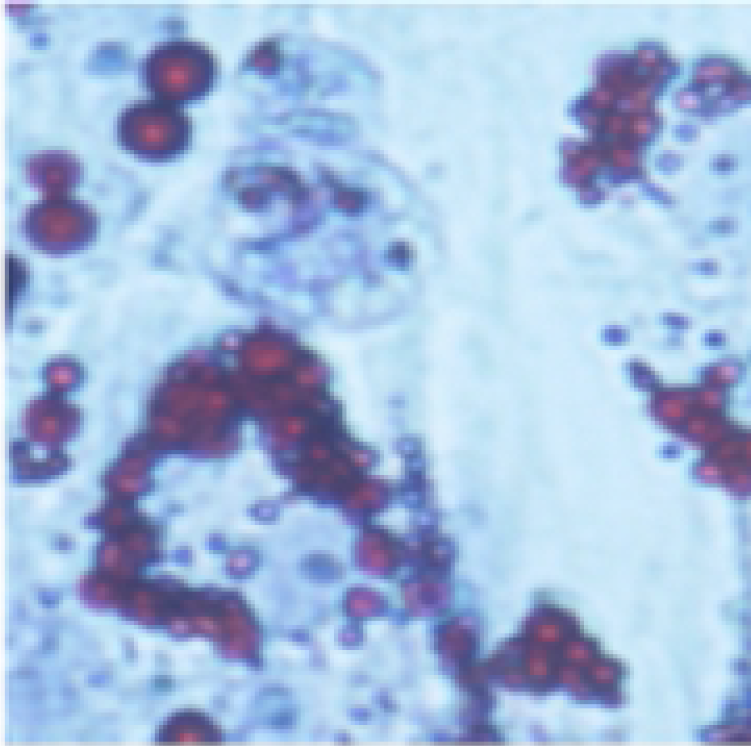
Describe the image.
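A cell monolayer in which pale bluish cell bodies carry many round droplets stained red, ranging from tiny specks to a few large spheres. The red droplets crowd together in dense clumps and curving bands at the edges of the pale cells, while other areas hold only scattered small droplets.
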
